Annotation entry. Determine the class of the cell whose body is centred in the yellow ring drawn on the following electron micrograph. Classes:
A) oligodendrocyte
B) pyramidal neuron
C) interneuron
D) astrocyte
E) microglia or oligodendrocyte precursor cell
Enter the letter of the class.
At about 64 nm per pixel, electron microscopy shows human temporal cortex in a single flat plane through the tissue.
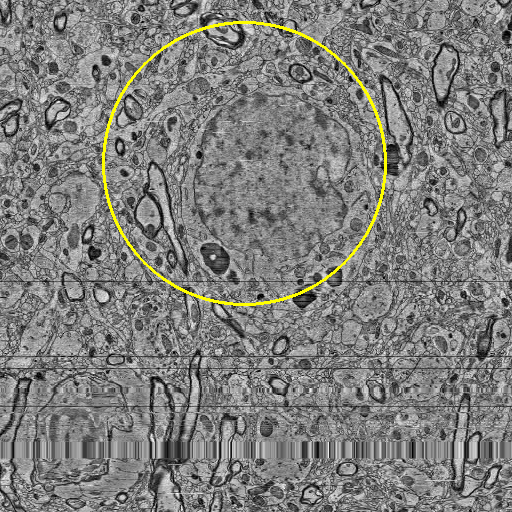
C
